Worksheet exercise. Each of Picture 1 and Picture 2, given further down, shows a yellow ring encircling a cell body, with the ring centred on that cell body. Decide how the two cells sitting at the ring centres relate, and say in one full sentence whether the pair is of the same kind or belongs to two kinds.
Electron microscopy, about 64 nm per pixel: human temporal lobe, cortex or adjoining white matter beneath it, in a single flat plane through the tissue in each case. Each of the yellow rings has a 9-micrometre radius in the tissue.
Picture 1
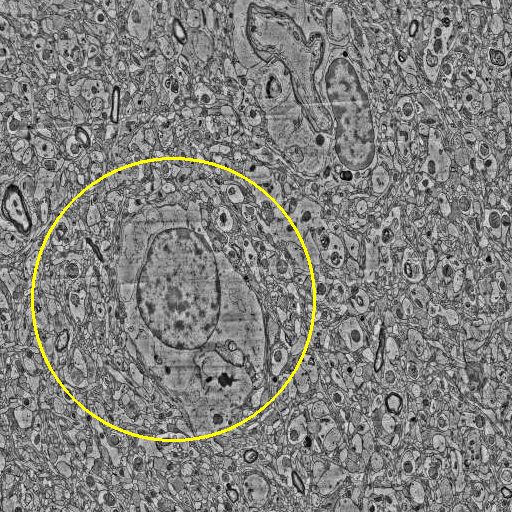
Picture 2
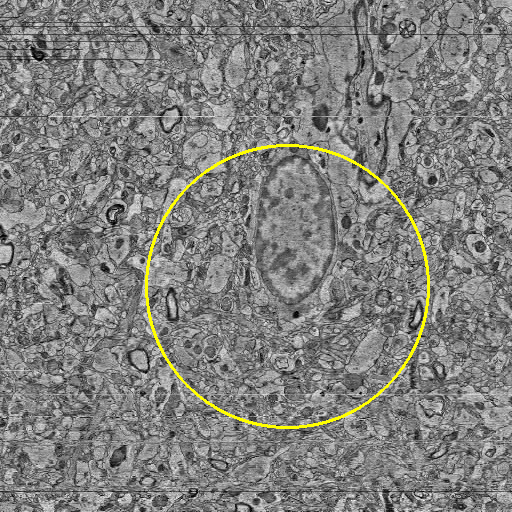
The cells at the ring centres in Picture 1 and Picture 2 belong to two kinds.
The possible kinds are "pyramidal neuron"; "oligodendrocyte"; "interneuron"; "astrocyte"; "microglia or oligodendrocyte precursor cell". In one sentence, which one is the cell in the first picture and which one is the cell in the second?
The cell ringed in the second picture is an oligodendrocyte, whereas the one ringed in the first is an astrocyte.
